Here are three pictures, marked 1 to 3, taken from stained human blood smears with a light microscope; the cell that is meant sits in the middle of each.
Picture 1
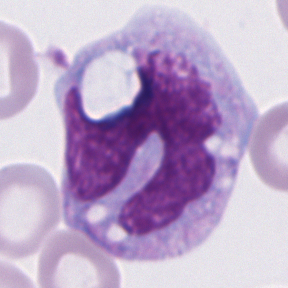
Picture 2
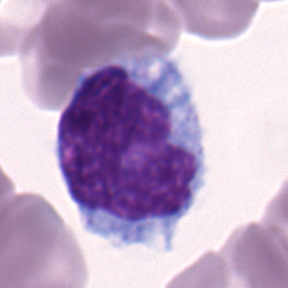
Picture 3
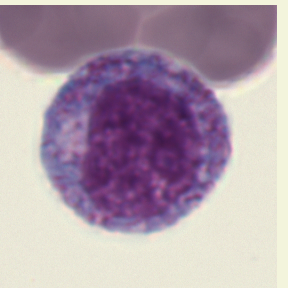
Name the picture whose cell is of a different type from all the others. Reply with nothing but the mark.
3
